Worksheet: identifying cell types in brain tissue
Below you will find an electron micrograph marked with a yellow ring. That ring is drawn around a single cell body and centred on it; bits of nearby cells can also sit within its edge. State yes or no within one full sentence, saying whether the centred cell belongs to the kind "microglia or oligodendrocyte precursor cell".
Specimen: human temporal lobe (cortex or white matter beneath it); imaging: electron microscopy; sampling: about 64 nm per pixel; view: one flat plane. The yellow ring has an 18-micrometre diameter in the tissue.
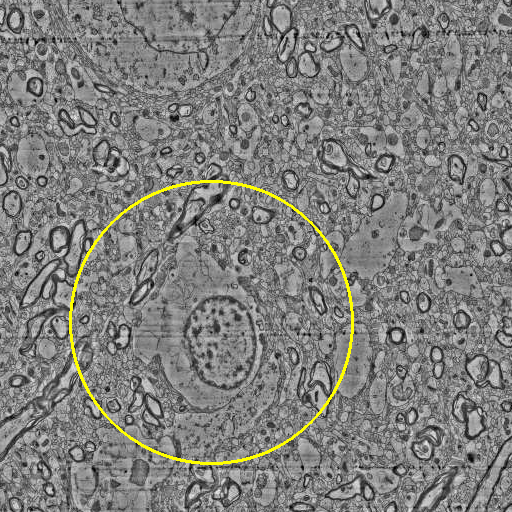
No, the cell sitting at the centre of the yellow ring in this picture is of another kind.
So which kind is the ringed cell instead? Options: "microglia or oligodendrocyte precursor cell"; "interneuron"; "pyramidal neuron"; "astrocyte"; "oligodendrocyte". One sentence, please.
Instead, the ringed cell here is an astrocyte.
